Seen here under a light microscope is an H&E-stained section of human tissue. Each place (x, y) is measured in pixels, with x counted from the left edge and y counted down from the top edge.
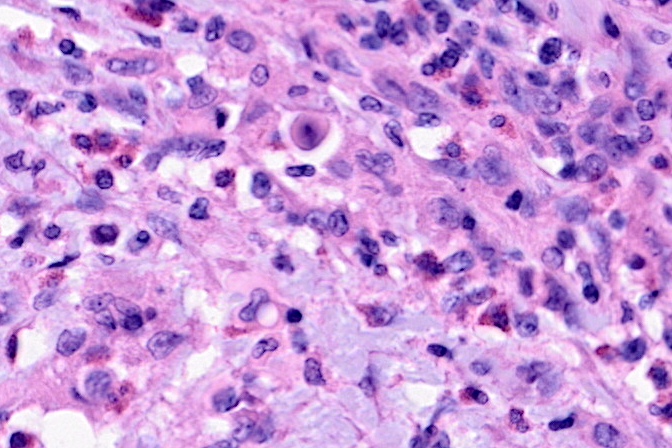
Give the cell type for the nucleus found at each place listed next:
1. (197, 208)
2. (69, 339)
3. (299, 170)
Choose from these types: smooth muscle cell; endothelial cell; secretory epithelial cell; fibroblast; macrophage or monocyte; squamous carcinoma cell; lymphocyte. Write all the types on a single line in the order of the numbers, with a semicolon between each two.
lymphocyte; macrophage or monocyte; lymphocyte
